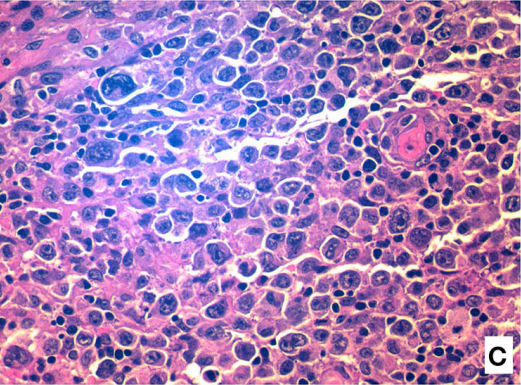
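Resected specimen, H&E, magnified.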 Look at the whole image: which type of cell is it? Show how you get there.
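Sheets of large cells with abundant cytoplasm and large irregular nuclei. Many nuclei show open chromatin and prominent nucleoli. Small dark round cells are scattered among the large cells.
Answer: neoplastic cells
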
